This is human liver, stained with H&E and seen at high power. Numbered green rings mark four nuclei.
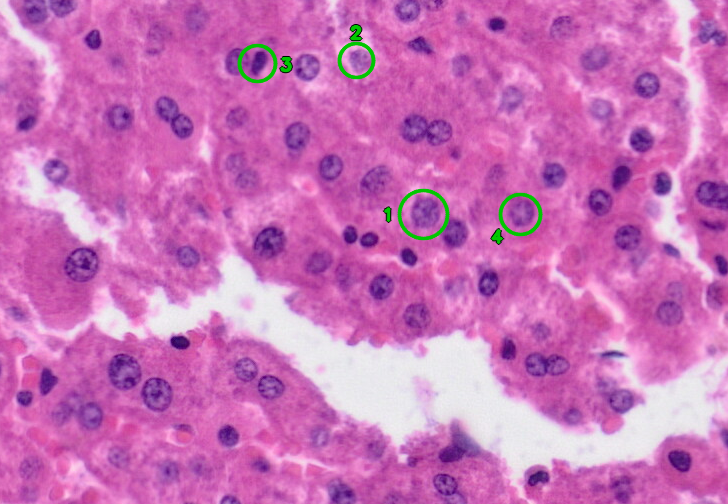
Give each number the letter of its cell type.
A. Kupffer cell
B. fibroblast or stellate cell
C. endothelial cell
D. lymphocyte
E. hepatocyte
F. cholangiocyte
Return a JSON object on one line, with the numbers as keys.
{"1": "E", "2": "E", "3": "B", "4": "E"}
